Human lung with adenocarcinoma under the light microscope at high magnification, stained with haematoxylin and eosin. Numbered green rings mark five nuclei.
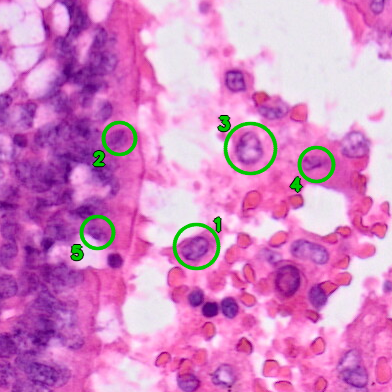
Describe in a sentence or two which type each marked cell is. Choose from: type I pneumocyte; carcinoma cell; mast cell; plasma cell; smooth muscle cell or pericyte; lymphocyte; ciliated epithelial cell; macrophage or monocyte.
Cell 1 is a macrophage or monocyte, cell 2 is a ciliated epithelial cell, cell 3 is a macrophage or monocyte, cell 4 is a macrophage or monocyte and cell 5 is a ciliated epithelial cell.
